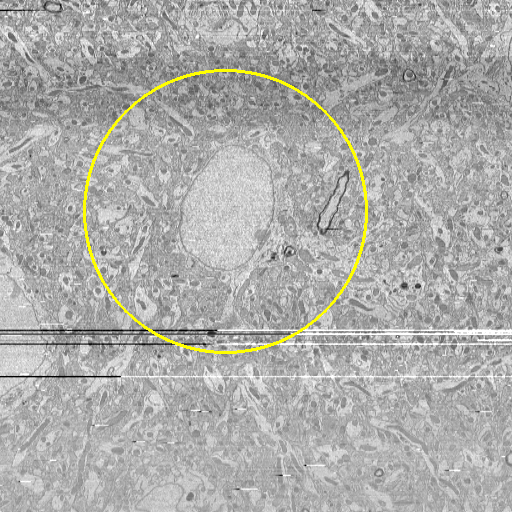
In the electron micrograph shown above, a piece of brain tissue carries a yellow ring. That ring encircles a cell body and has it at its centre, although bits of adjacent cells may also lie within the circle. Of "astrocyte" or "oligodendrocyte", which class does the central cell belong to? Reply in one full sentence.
The cell body at the centre of the yellow ring belongs to an astrocyte.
